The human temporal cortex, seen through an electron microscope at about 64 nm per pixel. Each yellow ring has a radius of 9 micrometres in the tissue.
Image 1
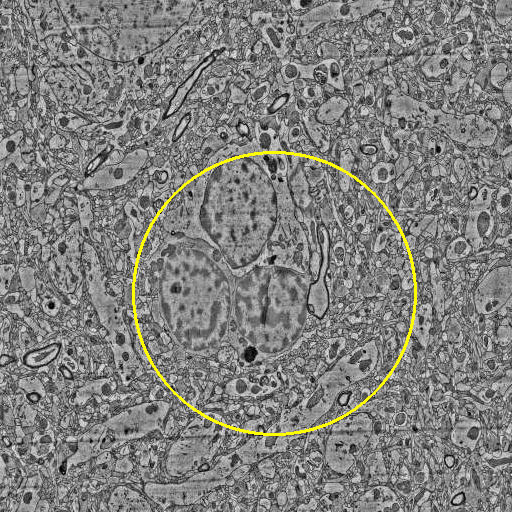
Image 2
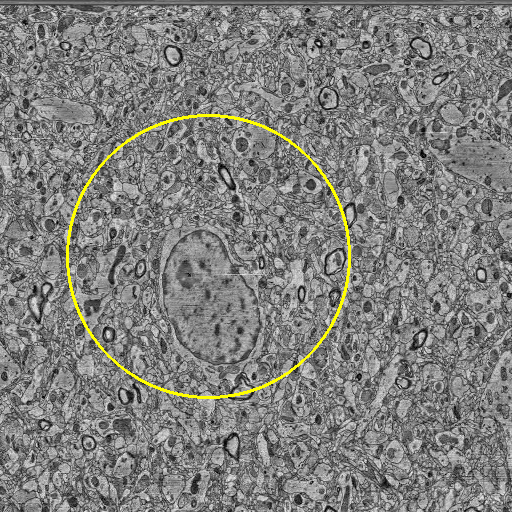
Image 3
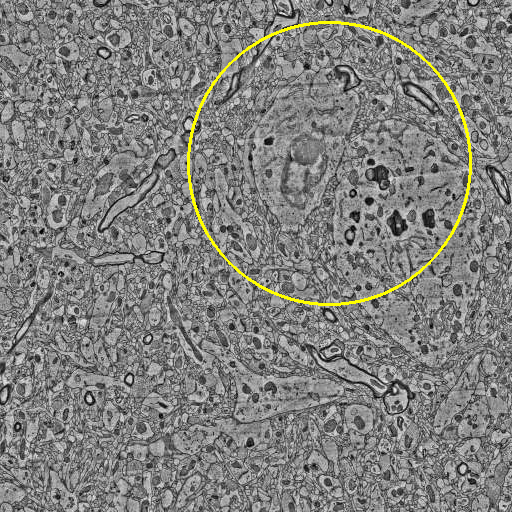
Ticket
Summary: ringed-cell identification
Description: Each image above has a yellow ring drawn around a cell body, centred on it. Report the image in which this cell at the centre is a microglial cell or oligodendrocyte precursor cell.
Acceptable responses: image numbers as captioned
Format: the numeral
2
